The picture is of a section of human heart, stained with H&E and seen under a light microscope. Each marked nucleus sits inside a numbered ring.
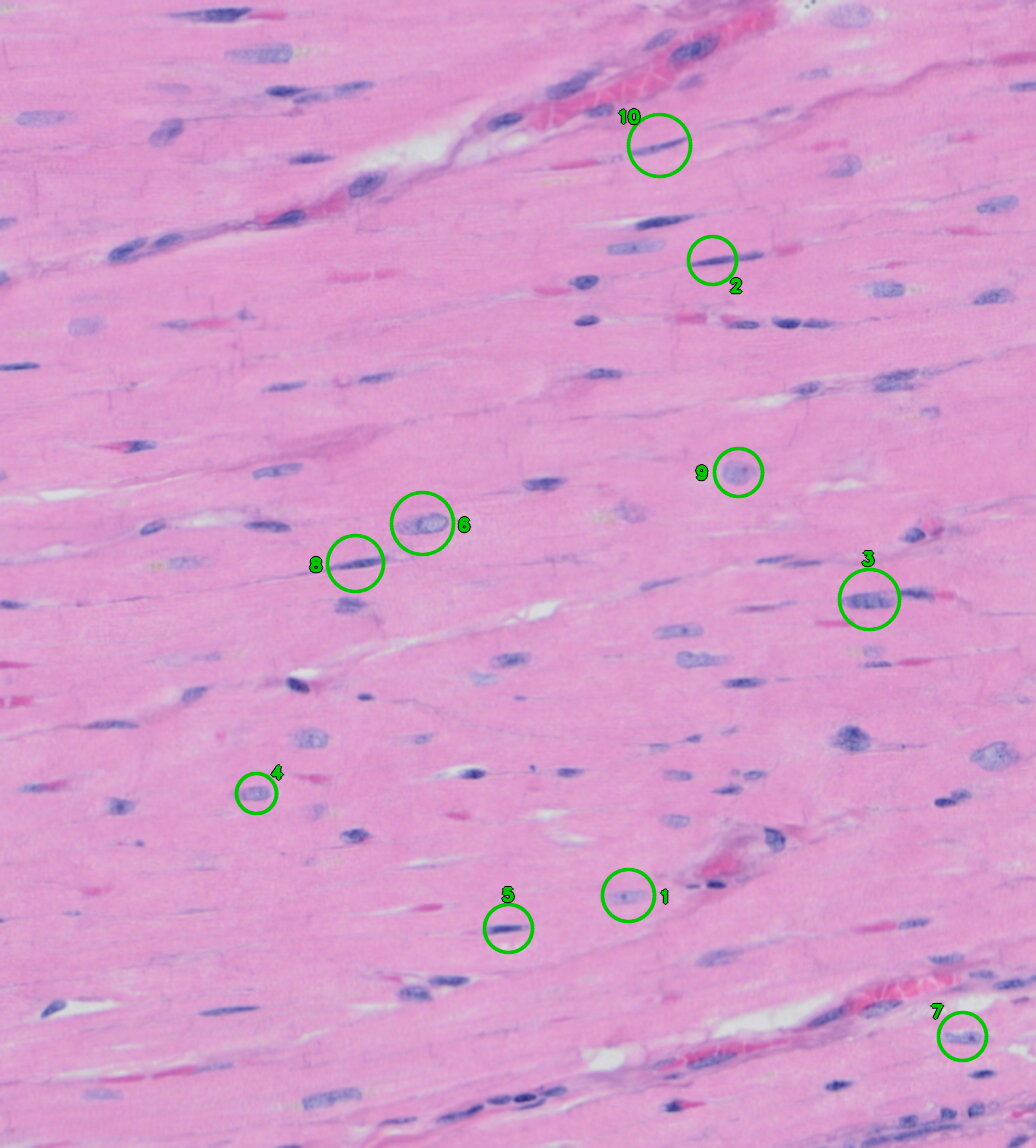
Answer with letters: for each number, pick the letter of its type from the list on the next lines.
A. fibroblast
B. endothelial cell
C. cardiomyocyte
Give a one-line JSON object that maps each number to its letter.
{"1": "C", "2": "A", "3": "C", "4": "C", "5": "B", "6": "C", "7": "C", "8": "B", "9": "C", "10": "B"}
